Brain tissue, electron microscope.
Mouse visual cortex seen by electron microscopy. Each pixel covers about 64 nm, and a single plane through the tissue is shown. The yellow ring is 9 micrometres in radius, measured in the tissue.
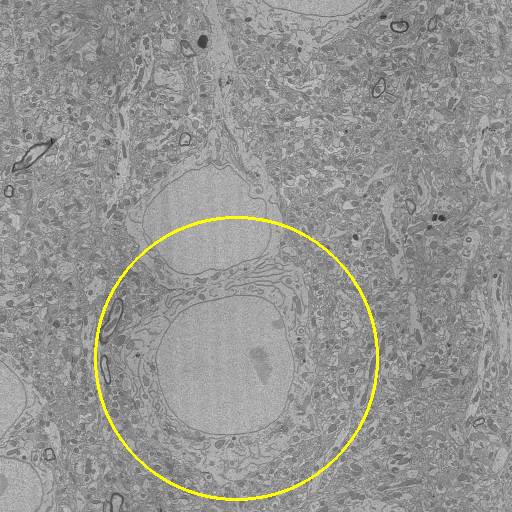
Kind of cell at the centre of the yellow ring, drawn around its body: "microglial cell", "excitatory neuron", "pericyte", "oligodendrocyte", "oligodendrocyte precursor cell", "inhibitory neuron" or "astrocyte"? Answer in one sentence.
The ring's centre falls on an excitatory neuron.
